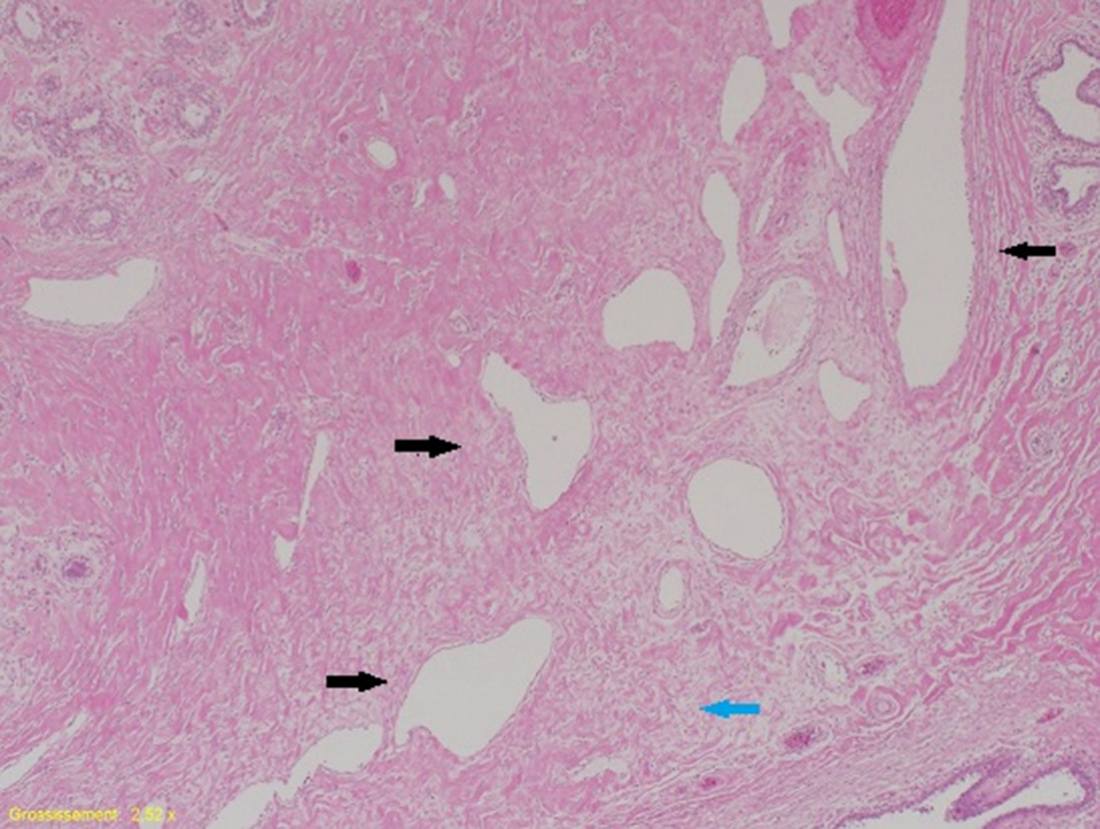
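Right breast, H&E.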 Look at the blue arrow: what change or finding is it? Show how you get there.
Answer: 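The blue arrow points to loose, pale, widely spaced stroma. The collagen fibres there are separated by clear spaces, unlike the denser pink stroma elsewhere.
Answer: diffuse edematous infiltration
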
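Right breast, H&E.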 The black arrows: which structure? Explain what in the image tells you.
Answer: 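The black arrows point to large, empty, irregular channels with very thin walls. Many such open spaces are scattered through the pink stroma. The channels hold no red blood cells.
Answer: dilated lymphatics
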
